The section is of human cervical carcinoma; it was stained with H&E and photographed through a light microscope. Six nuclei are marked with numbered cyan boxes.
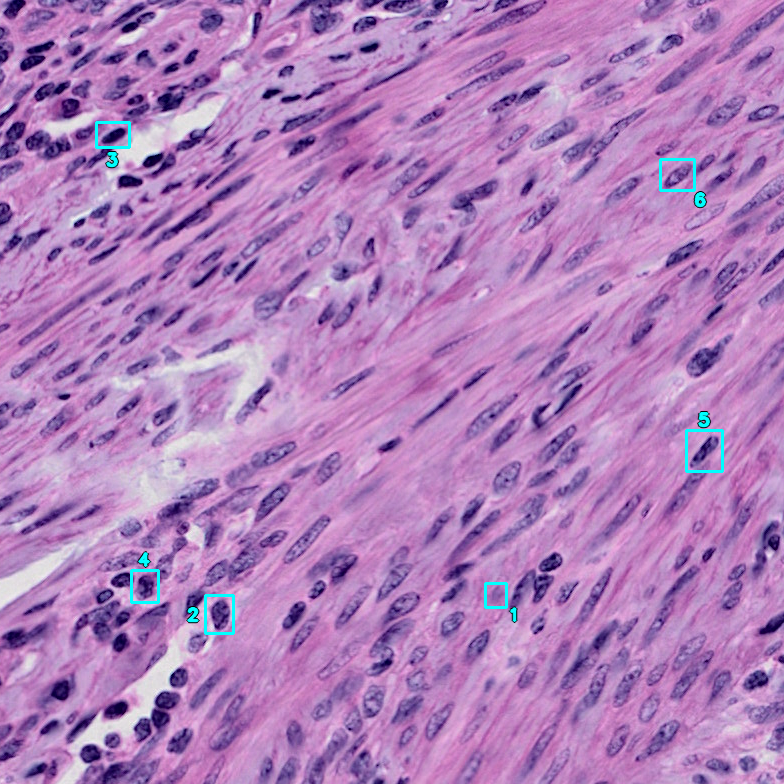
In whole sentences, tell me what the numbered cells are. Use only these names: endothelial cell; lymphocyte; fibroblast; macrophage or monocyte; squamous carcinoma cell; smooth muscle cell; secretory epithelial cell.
Cells 1 and 6 are smooth muscle cells. Cells 2, 3, 4 and 5 are lymphocytes.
